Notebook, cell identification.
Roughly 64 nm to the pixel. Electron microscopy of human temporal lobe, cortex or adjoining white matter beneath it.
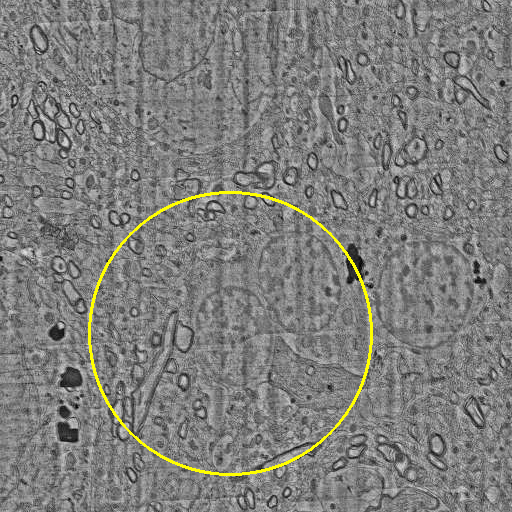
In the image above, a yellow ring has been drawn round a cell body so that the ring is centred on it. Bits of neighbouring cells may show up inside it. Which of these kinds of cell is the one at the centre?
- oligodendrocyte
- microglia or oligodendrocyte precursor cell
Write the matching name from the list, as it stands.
oligodendrocyte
